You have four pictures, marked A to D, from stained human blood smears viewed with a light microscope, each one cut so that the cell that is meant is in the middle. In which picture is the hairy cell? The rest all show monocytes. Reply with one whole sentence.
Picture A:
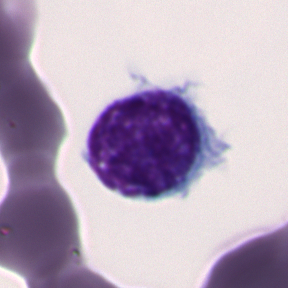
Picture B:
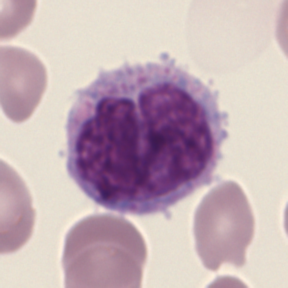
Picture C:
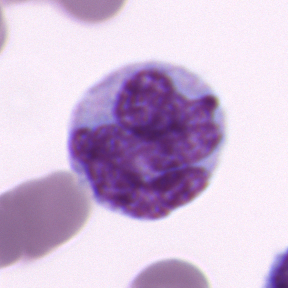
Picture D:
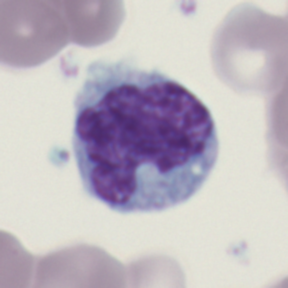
It is picture A that shows the hairy cell.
